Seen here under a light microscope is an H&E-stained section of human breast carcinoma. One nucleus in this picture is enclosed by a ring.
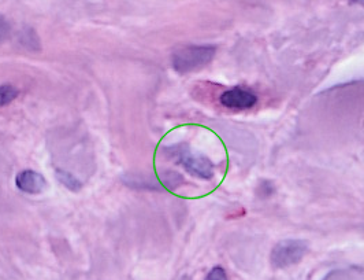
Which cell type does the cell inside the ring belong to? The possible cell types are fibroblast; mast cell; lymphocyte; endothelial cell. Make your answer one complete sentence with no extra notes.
Typologically, the cell inside the ring is a fibroblast in this section.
